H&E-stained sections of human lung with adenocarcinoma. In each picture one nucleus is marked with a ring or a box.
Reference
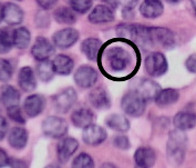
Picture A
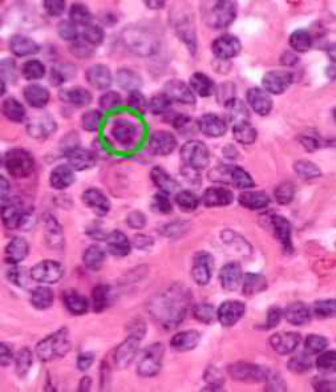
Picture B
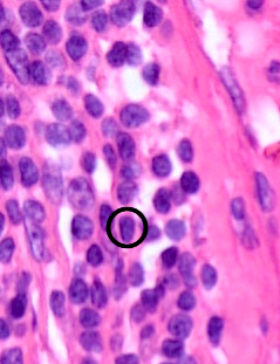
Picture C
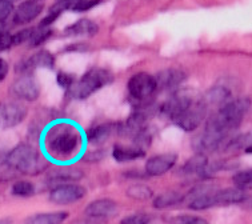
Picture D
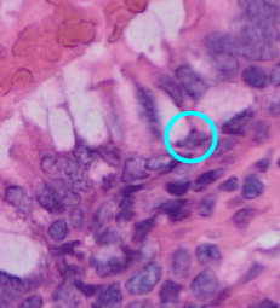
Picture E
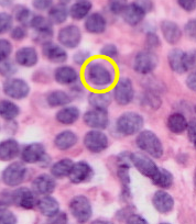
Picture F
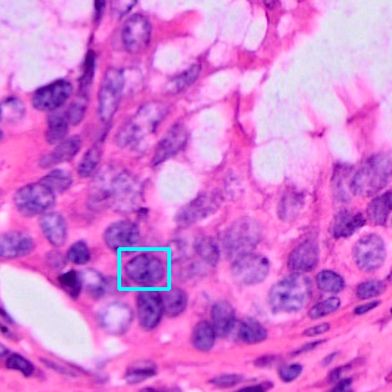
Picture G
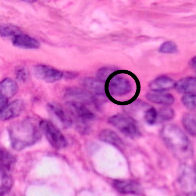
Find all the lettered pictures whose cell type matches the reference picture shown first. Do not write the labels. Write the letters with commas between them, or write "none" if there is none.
A, B, E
